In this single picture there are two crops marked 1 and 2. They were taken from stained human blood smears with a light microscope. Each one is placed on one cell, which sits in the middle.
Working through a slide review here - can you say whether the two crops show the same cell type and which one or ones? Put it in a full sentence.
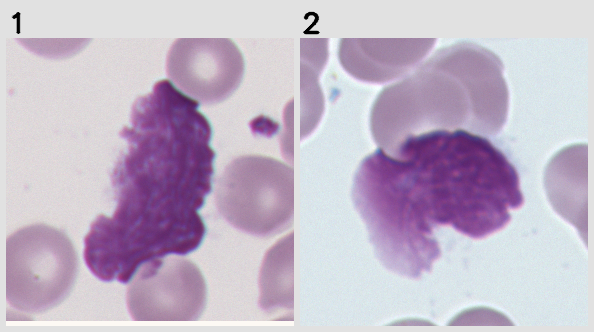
Yes, both crops show smudge cells at their middles.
